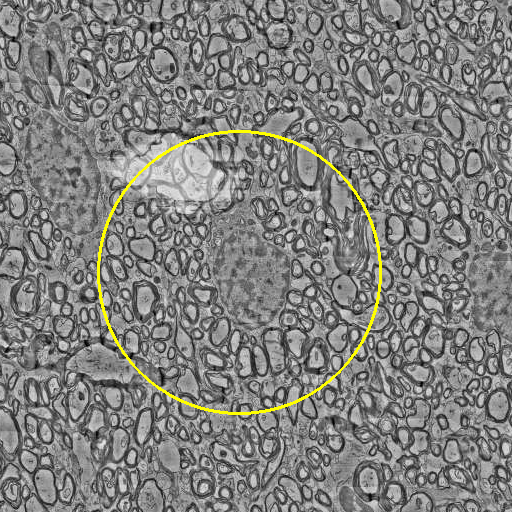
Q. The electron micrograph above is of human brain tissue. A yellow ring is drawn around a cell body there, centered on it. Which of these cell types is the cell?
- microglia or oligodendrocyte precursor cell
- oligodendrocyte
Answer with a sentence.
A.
The cell under the ring's center is an oligodendrocyte.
